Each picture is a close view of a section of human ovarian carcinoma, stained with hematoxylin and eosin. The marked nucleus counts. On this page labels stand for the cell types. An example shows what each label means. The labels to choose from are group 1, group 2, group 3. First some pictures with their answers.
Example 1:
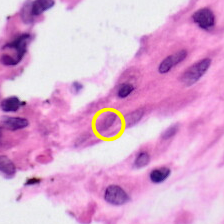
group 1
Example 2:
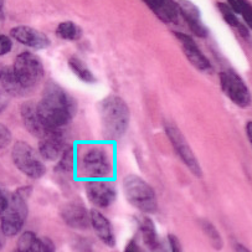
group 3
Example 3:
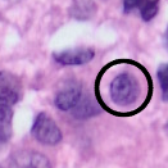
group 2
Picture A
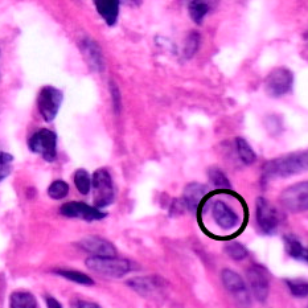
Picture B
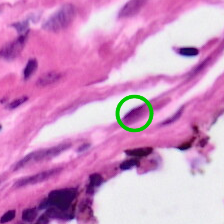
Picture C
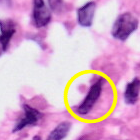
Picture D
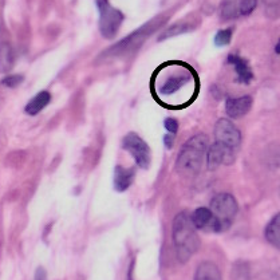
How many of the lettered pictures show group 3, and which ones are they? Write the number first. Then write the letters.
0, none of them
